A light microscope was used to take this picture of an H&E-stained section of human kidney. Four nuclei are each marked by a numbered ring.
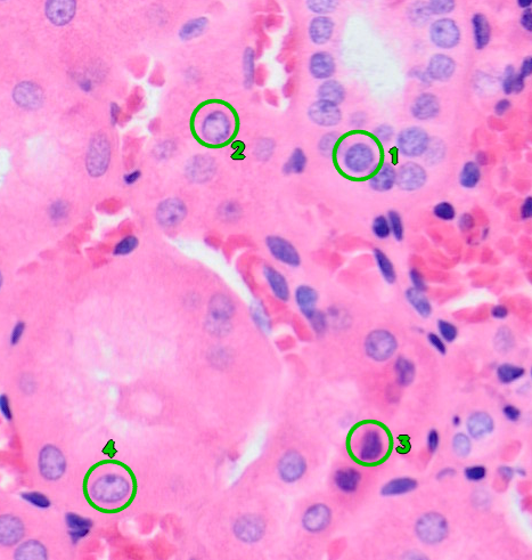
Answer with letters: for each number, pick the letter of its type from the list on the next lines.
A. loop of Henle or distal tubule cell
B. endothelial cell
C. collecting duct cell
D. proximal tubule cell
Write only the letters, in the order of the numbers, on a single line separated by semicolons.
C; D; D; D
